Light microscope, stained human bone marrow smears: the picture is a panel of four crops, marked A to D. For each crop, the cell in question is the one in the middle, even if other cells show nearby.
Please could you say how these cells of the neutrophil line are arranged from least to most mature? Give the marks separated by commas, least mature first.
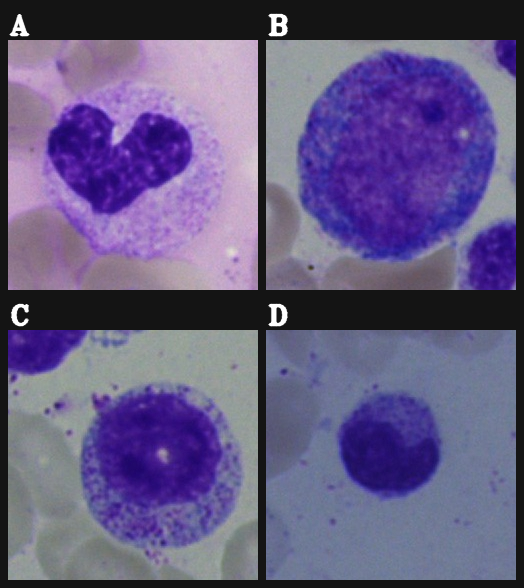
B, C, D, A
